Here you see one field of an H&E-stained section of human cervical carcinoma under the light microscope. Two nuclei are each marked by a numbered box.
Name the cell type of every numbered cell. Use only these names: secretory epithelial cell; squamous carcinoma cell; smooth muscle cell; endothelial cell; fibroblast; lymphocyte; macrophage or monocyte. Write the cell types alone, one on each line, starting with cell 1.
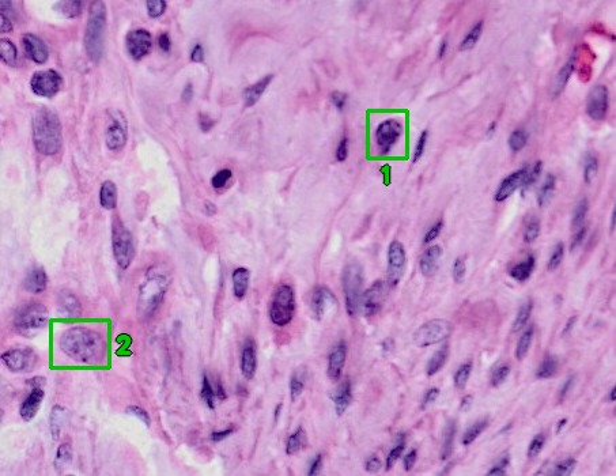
lymphocyte
endothelial cell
